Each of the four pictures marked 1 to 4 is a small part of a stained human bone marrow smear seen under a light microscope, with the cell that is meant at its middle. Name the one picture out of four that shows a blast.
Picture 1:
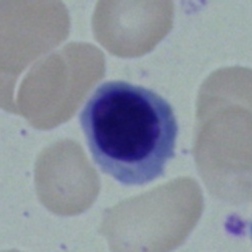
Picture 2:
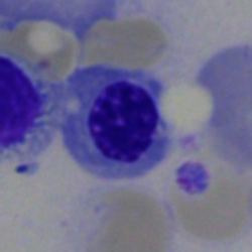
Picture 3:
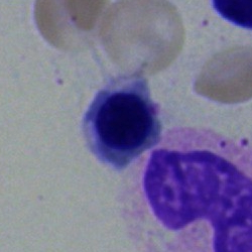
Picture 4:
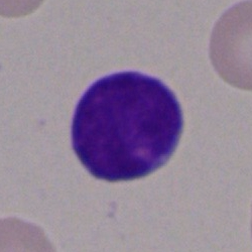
4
